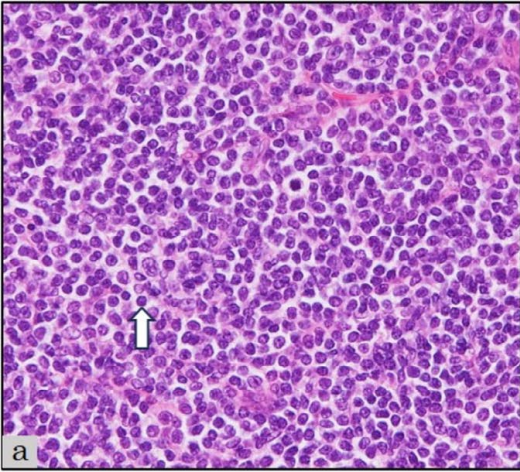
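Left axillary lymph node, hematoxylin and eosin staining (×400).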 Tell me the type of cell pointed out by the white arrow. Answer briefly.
Small to medium‐sized, atypical lymphoid cells.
